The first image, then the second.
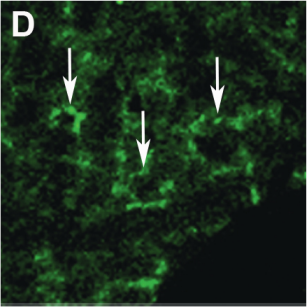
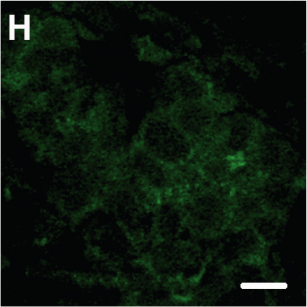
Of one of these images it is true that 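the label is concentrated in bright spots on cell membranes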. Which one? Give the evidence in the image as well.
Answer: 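The first image. First image: bright green dots and short streaks at cell borders, marked by arrows.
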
